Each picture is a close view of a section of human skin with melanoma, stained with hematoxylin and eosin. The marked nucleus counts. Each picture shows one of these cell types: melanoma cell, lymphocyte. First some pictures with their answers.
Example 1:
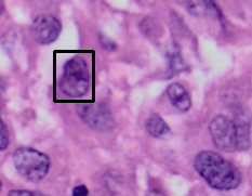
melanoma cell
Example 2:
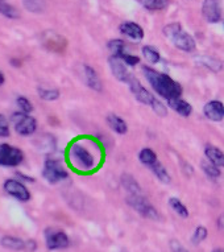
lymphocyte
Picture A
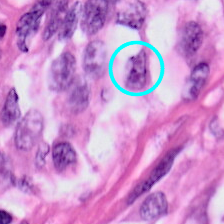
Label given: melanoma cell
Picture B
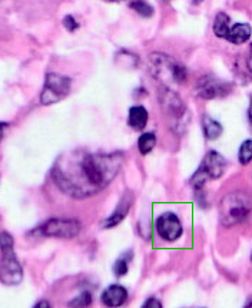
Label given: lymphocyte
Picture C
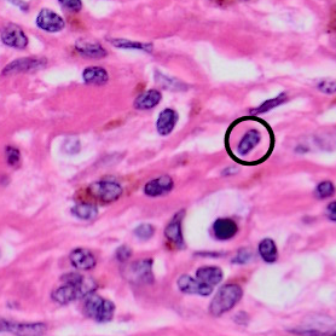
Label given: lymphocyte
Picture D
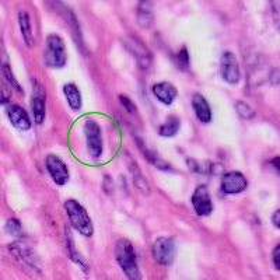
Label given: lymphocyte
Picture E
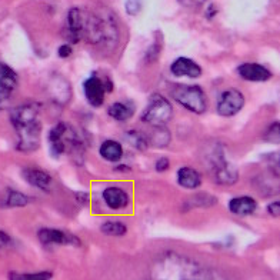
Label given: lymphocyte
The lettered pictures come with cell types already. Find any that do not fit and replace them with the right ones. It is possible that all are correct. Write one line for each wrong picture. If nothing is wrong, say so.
Every label is right.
